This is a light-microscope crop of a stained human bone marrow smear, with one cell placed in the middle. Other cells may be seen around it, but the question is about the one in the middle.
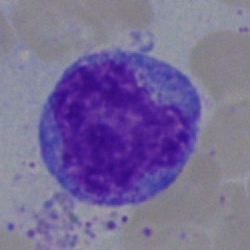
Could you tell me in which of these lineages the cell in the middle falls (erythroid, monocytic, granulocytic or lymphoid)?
monocytic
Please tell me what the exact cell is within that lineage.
monocyte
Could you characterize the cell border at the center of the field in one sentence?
The edge of the cell is unbroken and smooth, bearing no projections.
